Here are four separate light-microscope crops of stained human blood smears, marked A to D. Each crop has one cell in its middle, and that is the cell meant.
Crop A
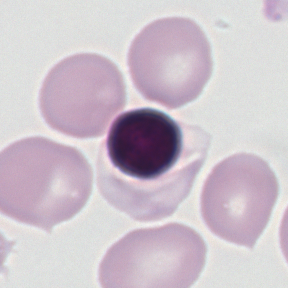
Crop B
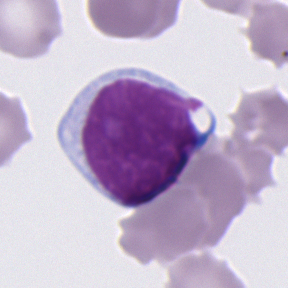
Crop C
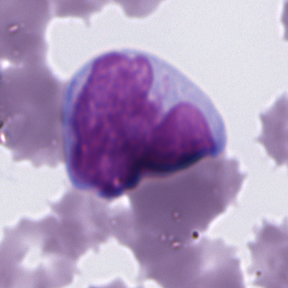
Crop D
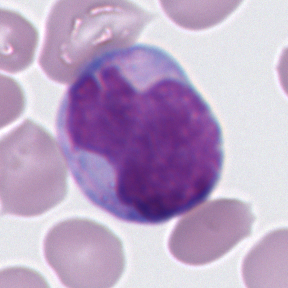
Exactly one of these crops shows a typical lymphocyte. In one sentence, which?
When the crops are compared, crop B is the one showing a typical lymphocyte.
